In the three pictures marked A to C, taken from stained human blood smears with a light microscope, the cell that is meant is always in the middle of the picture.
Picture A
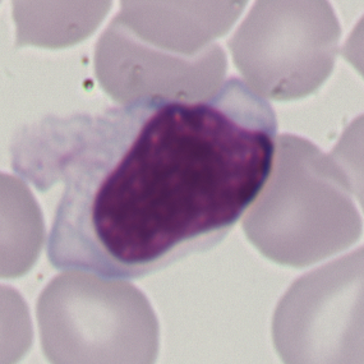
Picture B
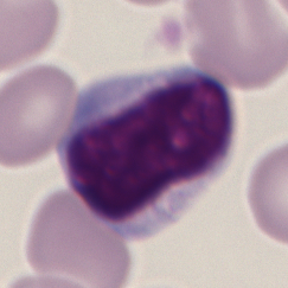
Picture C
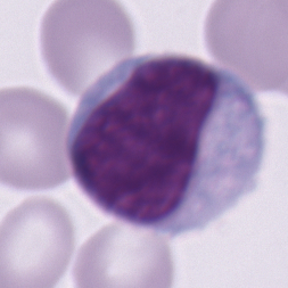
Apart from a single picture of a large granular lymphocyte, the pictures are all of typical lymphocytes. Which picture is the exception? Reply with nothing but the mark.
A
